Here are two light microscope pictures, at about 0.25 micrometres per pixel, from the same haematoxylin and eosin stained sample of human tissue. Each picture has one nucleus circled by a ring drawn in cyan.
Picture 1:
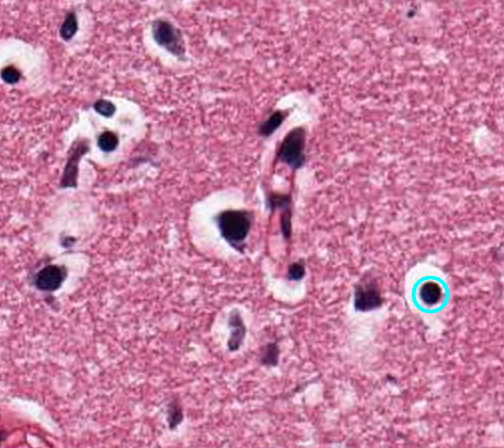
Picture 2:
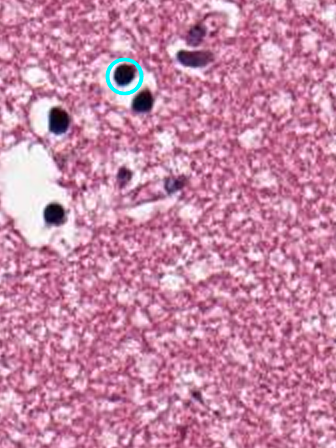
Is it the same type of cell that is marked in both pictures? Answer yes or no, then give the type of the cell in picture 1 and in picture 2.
Yes, both are oligodendrocytes.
